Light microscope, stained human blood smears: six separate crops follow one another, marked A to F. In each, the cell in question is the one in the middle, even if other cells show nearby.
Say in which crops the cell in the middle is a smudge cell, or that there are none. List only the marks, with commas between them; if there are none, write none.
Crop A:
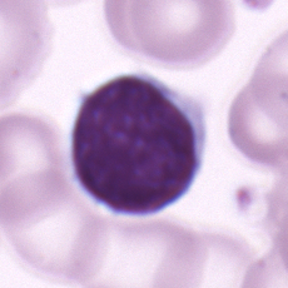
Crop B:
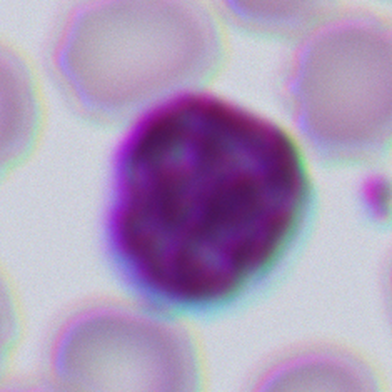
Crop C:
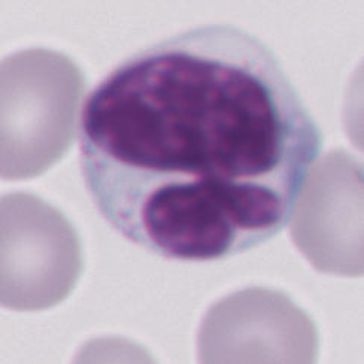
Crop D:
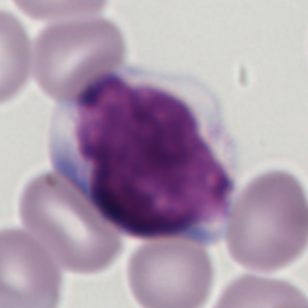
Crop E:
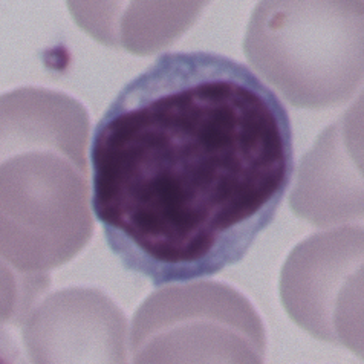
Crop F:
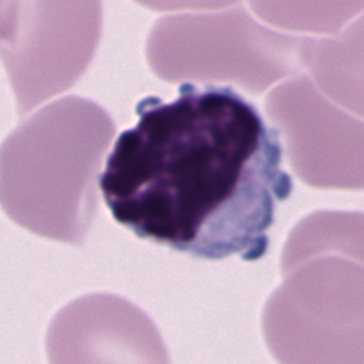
none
